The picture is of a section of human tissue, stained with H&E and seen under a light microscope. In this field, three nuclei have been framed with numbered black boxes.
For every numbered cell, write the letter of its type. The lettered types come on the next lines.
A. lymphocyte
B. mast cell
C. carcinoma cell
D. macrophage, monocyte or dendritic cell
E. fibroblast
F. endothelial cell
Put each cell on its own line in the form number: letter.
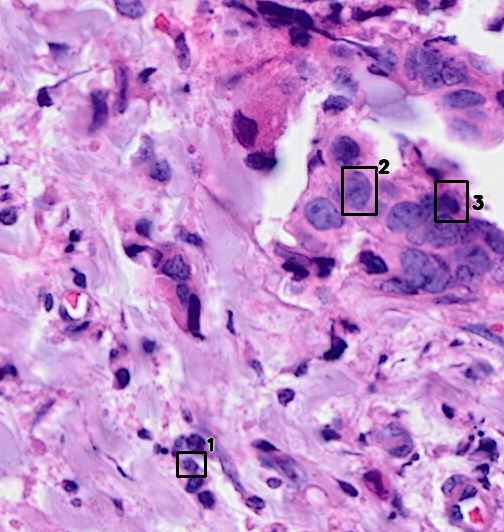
1: A
2: C
3: C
